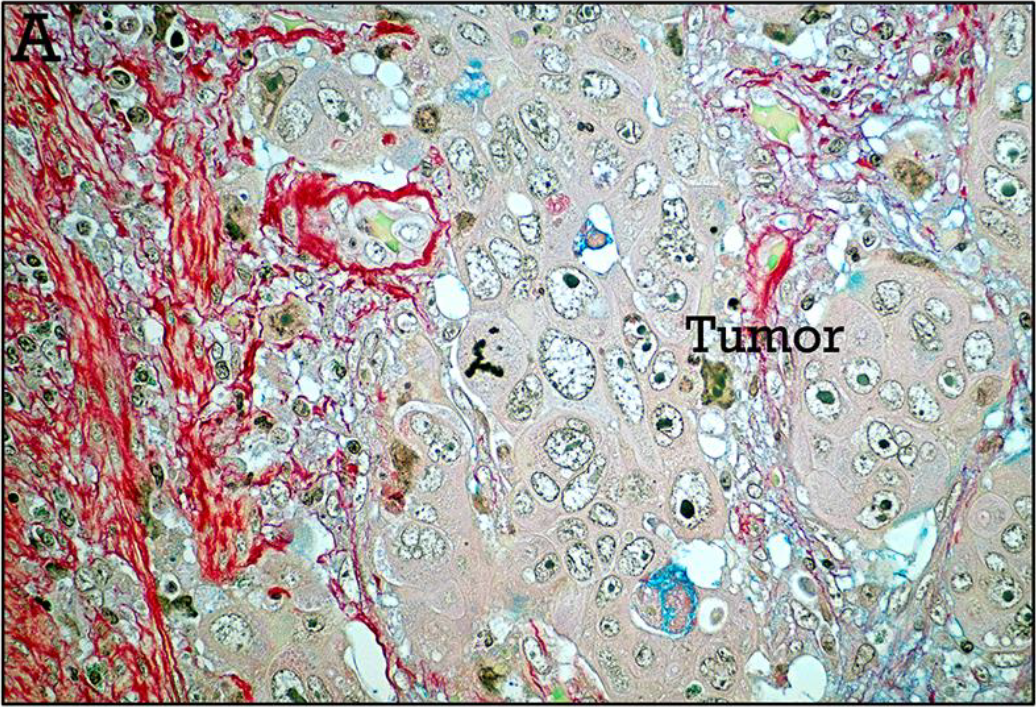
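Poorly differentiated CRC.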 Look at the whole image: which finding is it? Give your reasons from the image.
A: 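Tumor nuclei vary widely in size and shape. Some nuclei are several times larger than their neighbours. So: Nuclear pleomorphism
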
